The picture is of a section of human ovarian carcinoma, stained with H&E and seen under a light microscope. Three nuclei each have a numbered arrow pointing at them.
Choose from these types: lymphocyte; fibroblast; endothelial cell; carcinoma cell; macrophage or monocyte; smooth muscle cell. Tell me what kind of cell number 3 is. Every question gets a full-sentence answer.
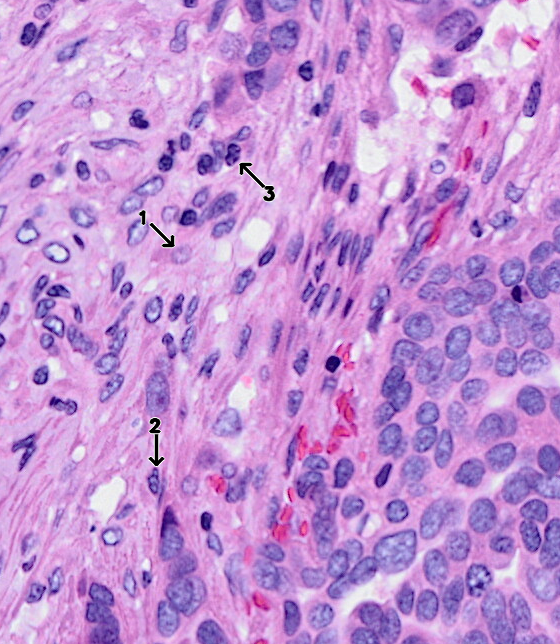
Identified by the number 3, the cell is a lymphocyte.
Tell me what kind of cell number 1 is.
The cell that bears the number 1 is a fibroblast.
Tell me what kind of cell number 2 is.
The cell identified by number 2 is a fibroblast.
